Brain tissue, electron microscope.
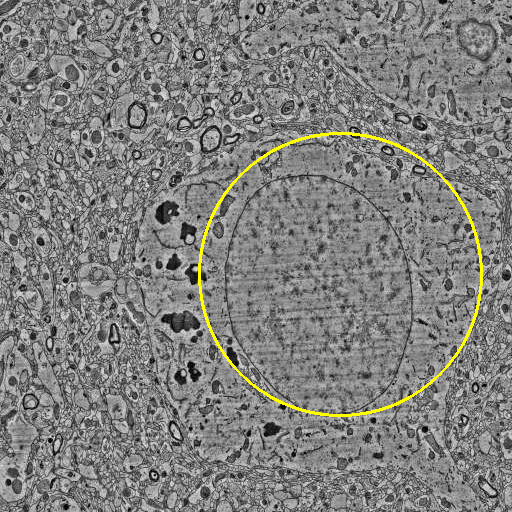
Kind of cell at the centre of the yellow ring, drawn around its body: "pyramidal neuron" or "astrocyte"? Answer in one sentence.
The ring's centre falls on a pyramidal neuron.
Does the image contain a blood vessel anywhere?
No.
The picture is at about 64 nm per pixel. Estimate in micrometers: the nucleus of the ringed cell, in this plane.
About 16 micrometres by about 12 micrometres in this plane.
